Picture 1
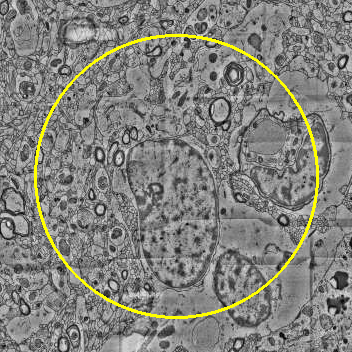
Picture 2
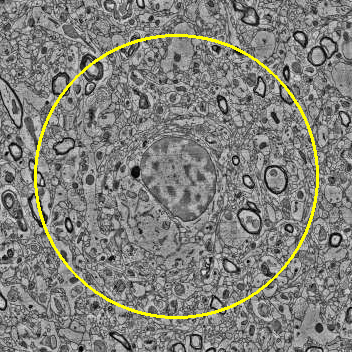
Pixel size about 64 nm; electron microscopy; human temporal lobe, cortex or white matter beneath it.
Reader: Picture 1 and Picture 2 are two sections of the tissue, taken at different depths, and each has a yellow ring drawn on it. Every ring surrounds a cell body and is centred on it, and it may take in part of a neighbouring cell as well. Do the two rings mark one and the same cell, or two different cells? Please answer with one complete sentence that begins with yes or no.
No, the two rings were placed on two different cells.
